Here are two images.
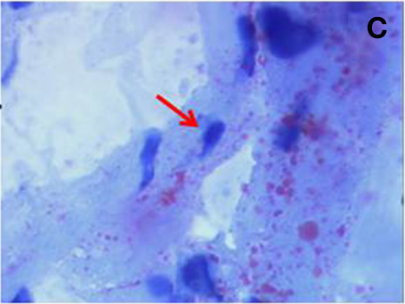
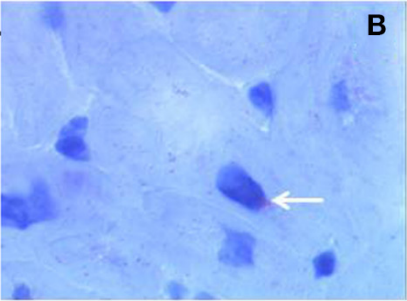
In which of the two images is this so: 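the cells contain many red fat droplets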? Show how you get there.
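First image: many red droplets are scattered throughout the cytoplasm. Second image: cytoplasm is pale blue with only tiny red specks beside a nucleus.
The first image.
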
